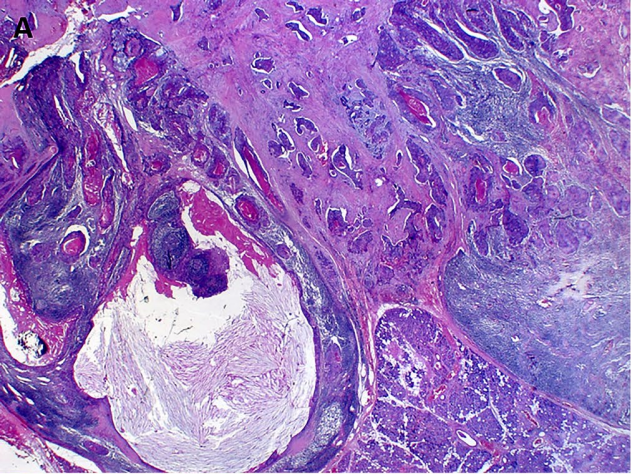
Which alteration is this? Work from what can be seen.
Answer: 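Many irregular epithelial nests spread through the tissue. A large cyst filled with pale flaky laminated material. Pink keratin-like material inside several nests.
Infiltrating squamous cell carcinoma.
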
